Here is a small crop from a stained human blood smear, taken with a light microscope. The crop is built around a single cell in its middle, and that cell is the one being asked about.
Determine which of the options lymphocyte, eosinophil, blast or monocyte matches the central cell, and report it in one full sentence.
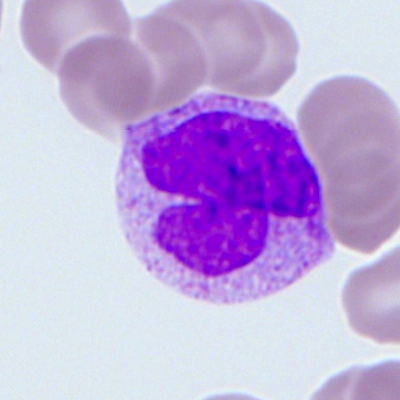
Regarding the central cell, it is a monocyte.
